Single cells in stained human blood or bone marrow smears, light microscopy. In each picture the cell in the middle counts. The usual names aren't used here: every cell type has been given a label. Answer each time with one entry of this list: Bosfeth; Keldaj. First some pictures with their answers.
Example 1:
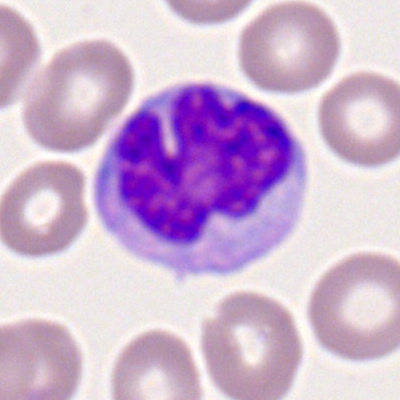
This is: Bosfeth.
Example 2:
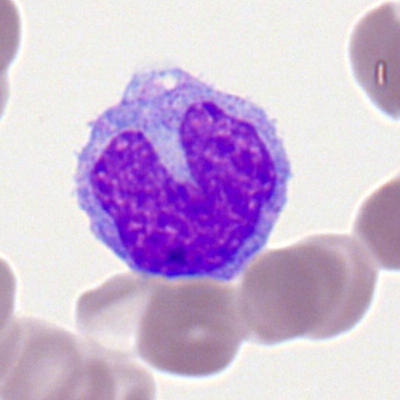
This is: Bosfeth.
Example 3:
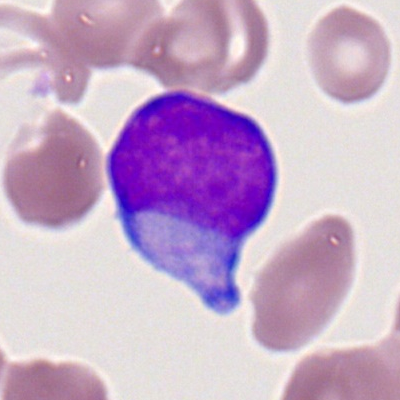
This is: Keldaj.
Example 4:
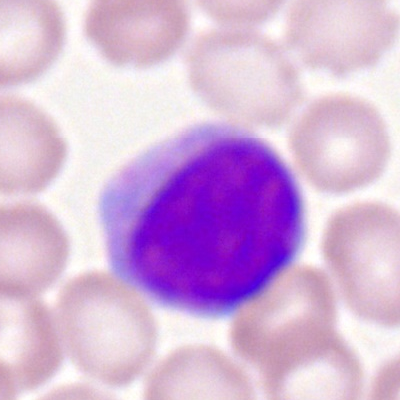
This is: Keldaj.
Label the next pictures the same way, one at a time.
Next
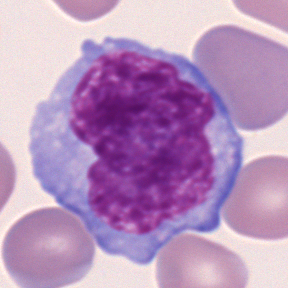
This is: Keldaj.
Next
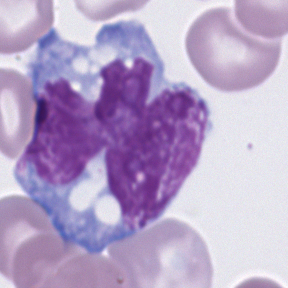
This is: Bosfeth.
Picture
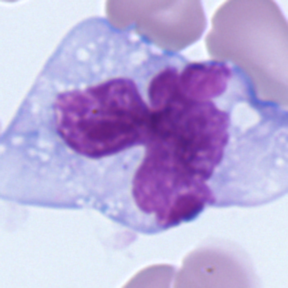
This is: Bosfeth.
